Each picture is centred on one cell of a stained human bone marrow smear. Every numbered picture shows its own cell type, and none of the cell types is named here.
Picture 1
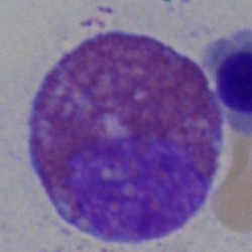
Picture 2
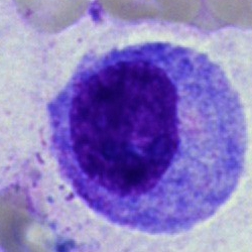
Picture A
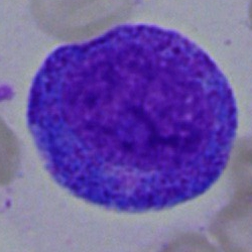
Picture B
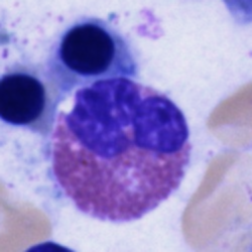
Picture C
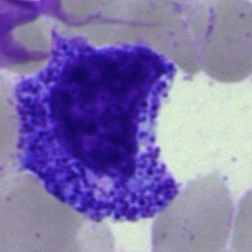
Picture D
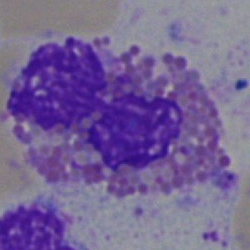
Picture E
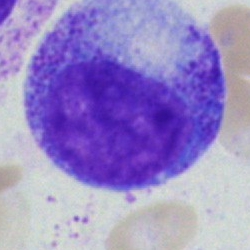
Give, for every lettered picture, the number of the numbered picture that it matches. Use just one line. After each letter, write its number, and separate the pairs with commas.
A 2, B 1, C 2, D 1, E 2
